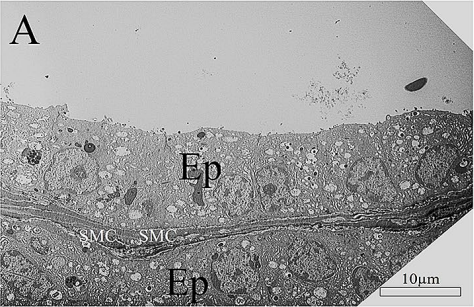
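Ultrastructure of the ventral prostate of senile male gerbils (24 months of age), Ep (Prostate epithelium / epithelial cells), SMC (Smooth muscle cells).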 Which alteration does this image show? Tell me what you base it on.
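The epithelial cell cytoplasm is filled with many pale rounded vacuoles. Vacuoles are scattered through the cell height, not only at the apex. So: vacuolar aspect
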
